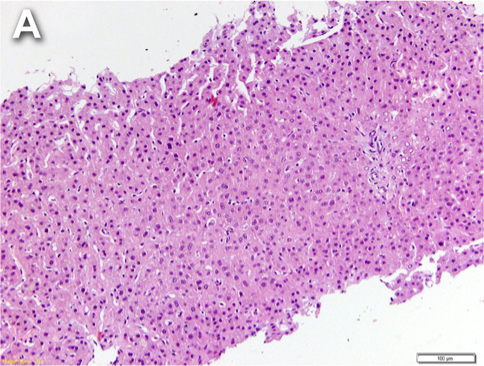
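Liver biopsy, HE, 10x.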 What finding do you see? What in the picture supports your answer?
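Hepatocytes form regular cords and plates across the biopsy. No fibrous bands or nodules break up the parenchyma. The answer: preserved architecture.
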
